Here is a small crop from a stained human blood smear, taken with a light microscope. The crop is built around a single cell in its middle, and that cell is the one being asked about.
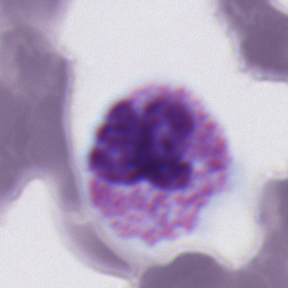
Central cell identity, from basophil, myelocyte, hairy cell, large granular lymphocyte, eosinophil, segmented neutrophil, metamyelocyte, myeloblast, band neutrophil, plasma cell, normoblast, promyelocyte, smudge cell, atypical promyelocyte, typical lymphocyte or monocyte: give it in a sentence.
By classification, the middle cell of this crop is a segmented neutrophil.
